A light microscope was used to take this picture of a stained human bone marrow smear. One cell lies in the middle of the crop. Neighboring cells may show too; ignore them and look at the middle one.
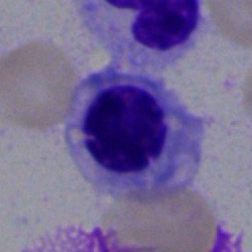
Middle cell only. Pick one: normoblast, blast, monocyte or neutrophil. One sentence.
The cell at the central position in this crop is a normoblast.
